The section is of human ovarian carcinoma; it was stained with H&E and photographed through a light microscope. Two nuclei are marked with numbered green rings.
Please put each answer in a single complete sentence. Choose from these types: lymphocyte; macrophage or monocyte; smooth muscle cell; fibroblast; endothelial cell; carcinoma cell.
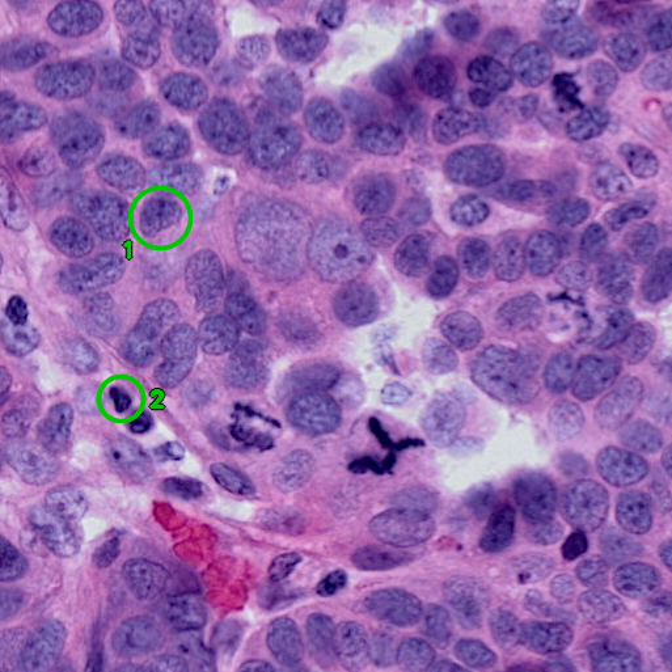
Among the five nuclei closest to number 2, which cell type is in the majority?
The majority of the five nuclei closest to number 2 belong to fibroblasts.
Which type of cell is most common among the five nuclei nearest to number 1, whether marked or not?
The majority of the five nuclei closest to number 1 belong to carcinoma cells.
